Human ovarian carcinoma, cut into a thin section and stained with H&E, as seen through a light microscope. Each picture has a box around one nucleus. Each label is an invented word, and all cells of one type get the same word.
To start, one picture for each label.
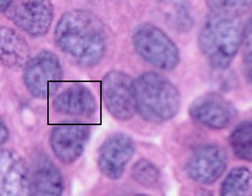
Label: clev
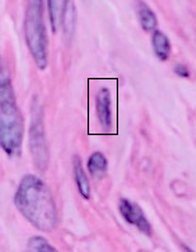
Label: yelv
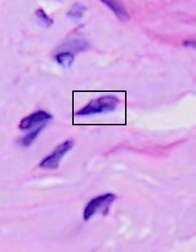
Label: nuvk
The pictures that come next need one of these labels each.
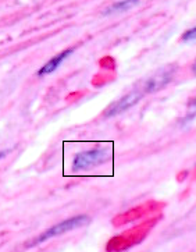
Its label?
nuvk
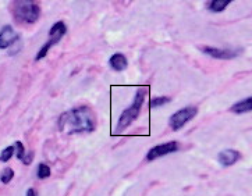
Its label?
nuvk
